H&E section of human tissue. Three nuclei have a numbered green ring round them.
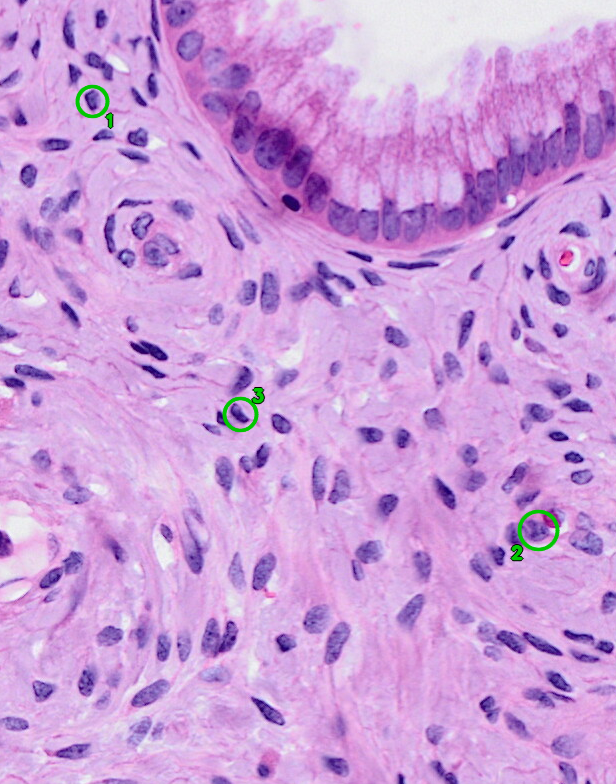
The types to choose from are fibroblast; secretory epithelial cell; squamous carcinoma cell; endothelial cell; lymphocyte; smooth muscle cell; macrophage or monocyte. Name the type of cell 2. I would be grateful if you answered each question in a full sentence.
The nucleus with number 2 is that of an endothelial cell.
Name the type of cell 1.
Cell number 1 in this section is a fibroblast.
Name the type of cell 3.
In this section, the cell numbered 3 is a fibroblast.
